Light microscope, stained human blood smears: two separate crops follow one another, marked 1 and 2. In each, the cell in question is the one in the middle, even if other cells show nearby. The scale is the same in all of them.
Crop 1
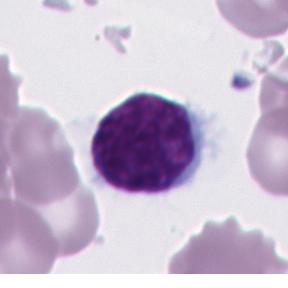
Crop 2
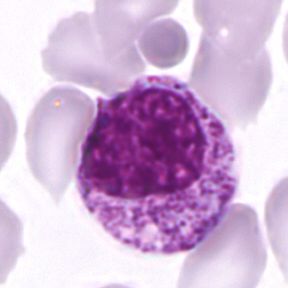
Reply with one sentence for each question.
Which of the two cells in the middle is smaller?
It is the cell in crop 1; the cell in crop 2 has about 2 times its area.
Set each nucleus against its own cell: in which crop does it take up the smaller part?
In crop 2 the nucleus takes up the smaller part of its cell.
